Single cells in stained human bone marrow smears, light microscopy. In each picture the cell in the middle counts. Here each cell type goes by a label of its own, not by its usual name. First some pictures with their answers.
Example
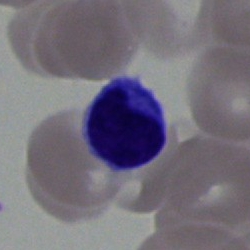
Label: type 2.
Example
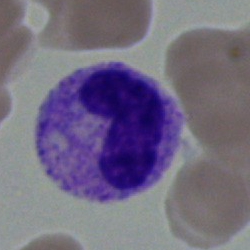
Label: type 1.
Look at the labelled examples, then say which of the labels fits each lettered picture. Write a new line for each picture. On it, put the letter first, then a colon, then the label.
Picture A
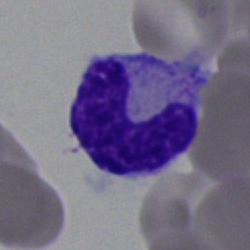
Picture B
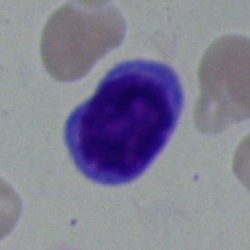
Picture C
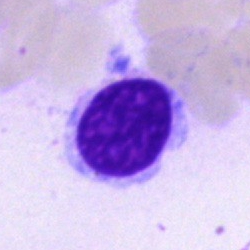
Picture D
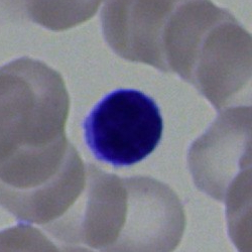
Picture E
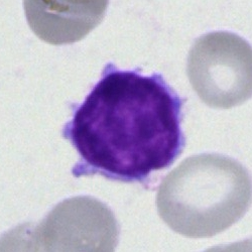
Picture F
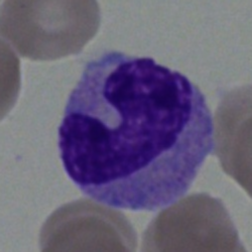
A: type 1.
B: type 2.
C: type 2.
D: type 2.
E: type 2.
F: type 1.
